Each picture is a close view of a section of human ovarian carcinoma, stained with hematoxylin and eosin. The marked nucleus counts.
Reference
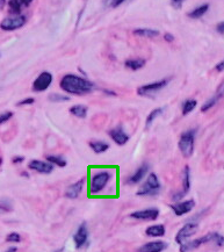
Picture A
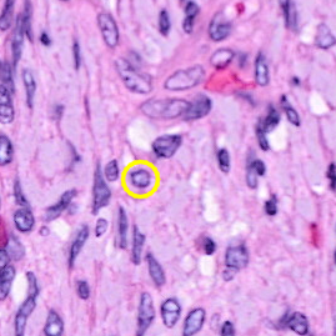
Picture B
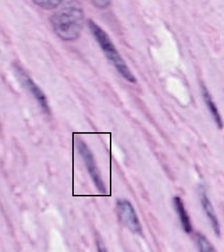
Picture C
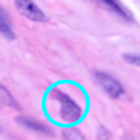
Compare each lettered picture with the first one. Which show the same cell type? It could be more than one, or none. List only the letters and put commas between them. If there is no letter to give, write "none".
C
